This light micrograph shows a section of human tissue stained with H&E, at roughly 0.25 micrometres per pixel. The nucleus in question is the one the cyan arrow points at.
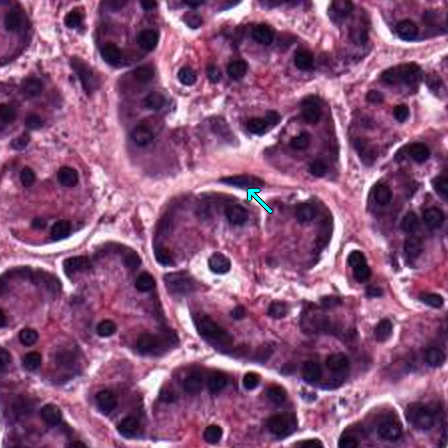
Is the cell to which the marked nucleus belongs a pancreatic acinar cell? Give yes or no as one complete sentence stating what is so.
No, the cell whose nucleus is marked is a supporting cell and not a pancreatic acinar cell.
